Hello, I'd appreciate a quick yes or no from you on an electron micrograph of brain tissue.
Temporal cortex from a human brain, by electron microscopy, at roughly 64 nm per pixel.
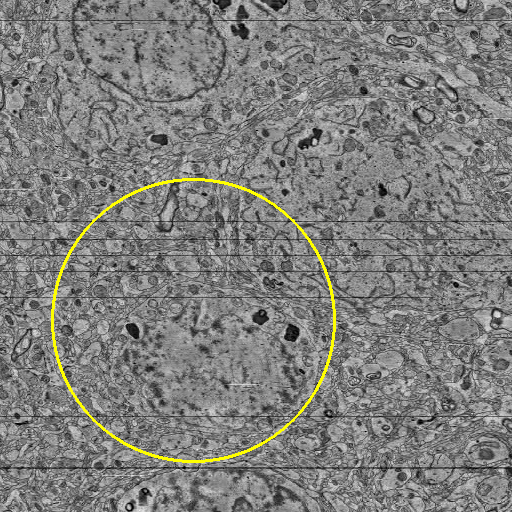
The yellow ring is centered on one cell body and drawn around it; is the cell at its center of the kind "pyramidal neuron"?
no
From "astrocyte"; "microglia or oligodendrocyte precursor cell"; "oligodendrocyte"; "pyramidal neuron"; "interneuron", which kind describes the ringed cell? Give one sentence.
The correct answer is that the cell is an interneuron.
